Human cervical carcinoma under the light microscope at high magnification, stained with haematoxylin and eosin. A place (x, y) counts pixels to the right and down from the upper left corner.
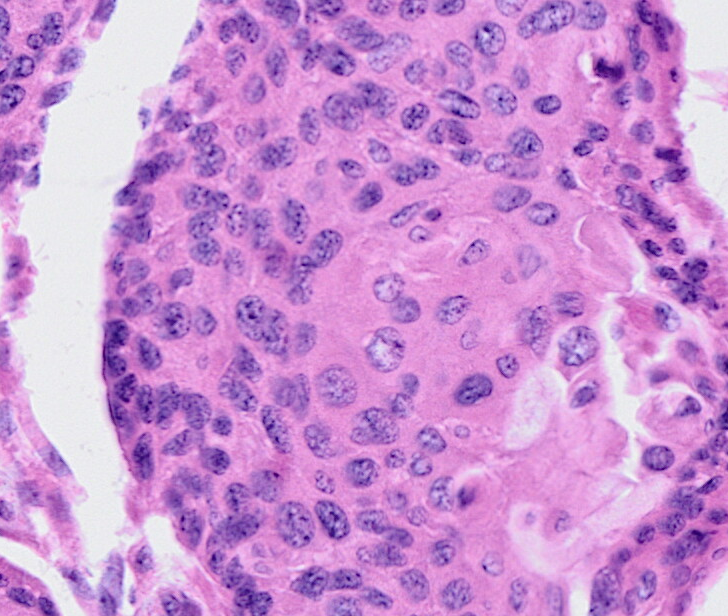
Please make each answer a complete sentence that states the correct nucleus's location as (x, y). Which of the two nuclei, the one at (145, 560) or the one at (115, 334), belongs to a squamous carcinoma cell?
The nucleus belonging to a squamous carcinoma cell is the one at (115, 334).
